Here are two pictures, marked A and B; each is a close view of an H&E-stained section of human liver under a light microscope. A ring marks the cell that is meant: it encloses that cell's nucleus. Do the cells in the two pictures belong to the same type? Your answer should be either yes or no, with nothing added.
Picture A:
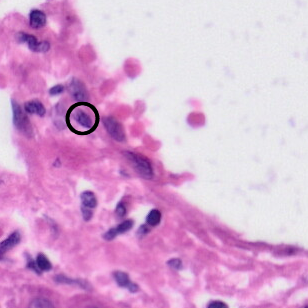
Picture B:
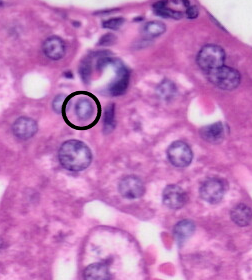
no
